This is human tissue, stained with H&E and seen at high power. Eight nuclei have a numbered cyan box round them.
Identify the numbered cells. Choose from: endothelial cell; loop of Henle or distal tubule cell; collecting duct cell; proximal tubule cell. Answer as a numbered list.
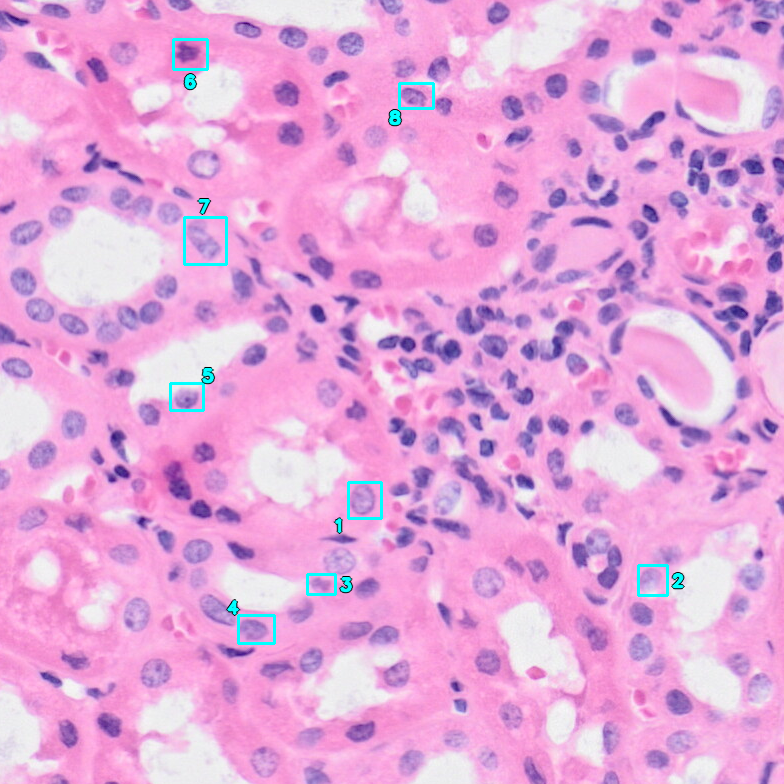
1. proximal tubule cell
2. loop of Henle or distal tubule cell
3. collecting duct cell
4. collecting duct cell
5. loop of Henle or distal tubule cell
6. proximal tubule cell
7. collecting duct cell
8. loop of Henle or distal tubule cell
